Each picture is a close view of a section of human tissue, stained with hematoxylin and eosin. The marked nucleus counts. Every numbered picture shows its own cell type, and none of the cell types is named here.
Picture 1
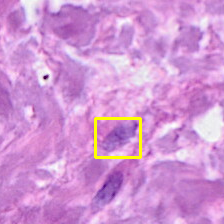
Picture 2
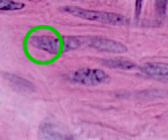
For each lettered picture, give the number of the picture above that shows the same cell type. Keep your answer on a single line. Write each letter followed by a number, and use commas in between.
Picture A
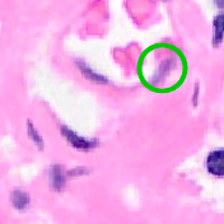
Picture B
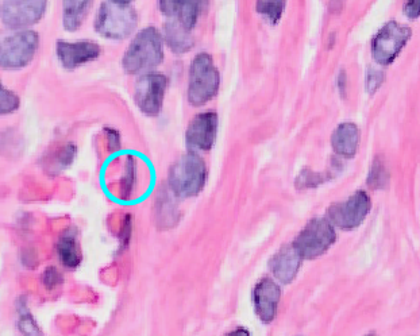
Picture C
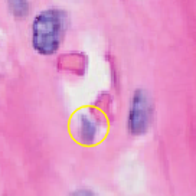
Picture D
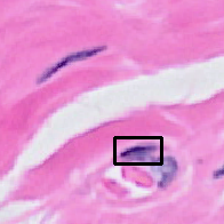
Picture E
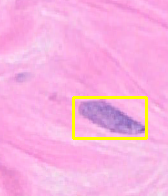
A 2, B 2, C 2, D 2, E 1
